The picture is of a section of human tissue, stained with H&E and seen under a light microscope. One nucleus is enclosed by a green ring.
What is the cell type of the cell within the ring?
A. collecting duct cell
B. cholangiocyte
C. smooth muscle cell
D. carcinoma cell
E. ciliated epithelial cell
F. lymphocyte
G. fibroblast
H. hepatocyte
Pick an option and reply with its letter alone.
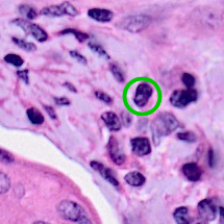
F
